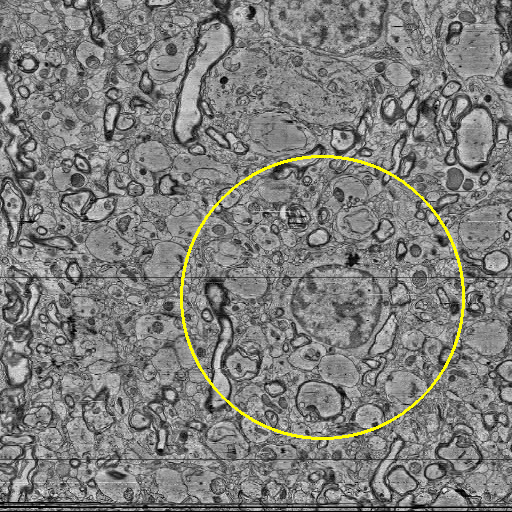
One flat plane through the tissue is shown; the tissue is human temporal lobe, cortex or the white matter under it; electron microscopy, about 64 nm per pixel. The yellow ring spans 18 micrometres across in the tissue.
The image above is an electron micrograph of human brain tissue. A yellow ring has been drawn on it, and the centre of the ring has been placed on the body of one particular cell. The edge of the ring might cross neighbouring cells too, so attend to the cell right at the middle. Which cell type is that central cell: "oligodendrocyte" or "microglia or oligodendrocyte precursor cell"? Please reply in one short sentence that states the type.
The central cell in the ring is an oligodendrocyte.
